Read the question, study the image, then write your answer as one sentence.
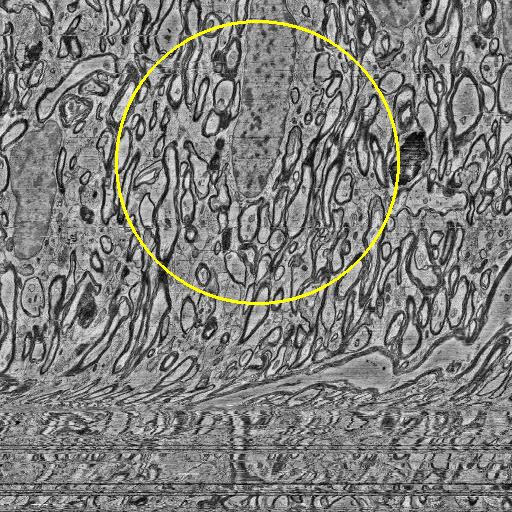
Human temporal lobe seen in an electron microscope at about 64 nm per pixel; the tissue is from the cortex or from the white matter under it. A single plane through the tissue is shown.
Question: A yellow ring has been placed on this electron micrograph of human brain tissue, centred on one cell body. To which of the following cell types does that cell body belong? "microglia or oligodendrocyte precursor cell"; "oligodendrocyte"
That cell body belongs to a microglial cell or oligodendrocyte precursor cell.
